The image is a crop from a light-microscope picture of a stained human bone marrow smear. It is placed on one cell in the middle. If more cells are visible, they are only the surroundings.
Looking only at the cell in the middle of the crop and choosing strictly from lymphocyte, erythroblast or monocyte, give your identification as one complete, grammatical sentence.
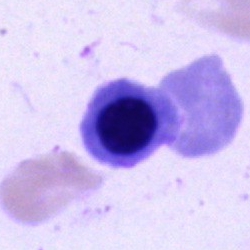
This crop has an erythroblast at its centre.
